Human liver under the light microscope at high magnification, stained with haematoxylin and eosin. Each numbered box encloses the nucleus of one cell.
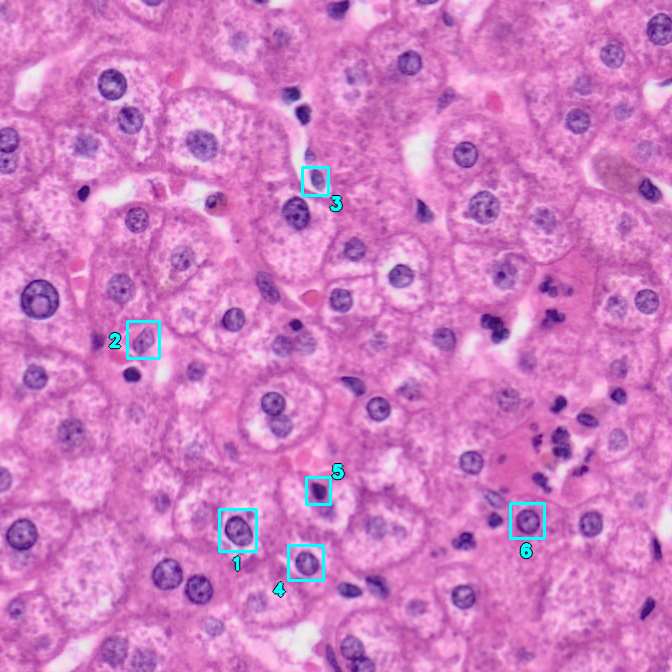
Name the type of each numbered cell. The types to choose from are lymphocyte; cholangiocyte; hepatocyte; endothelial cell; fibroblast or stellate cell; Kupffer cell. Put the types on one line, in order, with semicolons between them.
hepatocyte; Kupffer cell; lymphocyte; hepatocyte; fibroblast or stellate cell; hepatocyte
